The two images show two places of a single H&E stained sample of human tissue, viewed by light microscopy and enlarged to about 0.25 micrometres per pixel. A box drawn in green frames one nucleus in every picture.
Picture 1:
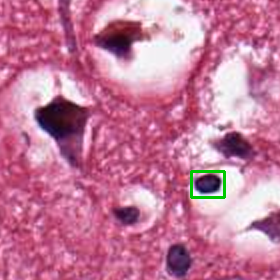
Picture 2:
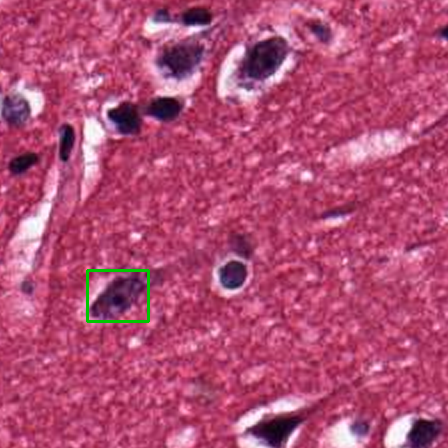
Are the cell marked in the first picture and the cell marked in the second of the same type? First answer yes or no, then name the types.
No, the first is an oligodendrocyte and the second a neuron.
